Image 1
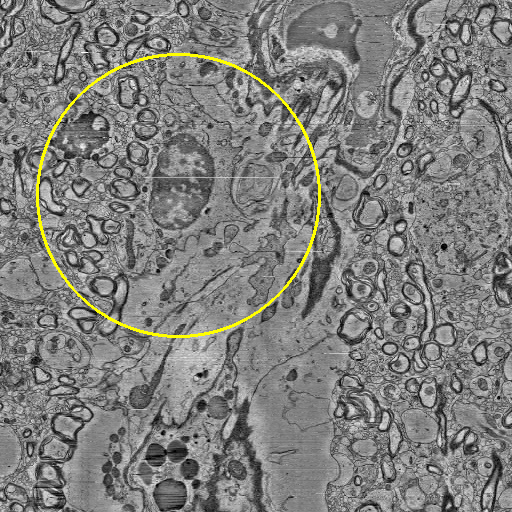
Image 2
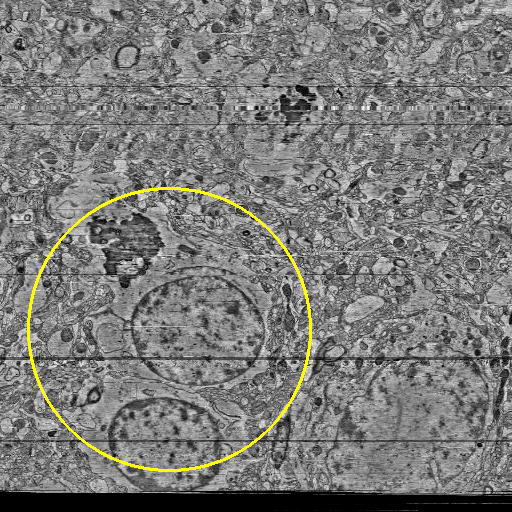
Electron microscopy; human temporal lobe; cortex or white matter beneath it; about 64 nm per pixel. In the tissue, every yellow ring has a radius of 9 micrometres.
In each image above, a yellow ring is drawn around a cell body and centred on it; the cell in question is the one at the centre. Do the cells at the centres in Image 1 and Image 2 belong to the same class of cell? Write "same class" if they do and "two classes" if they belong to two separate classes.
two classes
